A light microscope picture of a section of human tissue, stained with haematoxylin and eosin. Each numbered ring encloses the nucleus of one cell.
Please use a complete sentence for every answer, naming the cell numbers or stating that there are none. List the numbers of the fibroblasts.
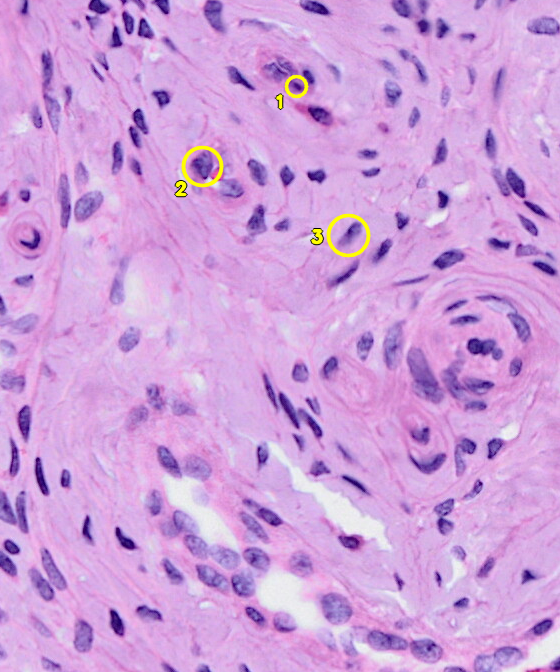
Just one of the numbered cells is a fibroblast, namely number 3.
